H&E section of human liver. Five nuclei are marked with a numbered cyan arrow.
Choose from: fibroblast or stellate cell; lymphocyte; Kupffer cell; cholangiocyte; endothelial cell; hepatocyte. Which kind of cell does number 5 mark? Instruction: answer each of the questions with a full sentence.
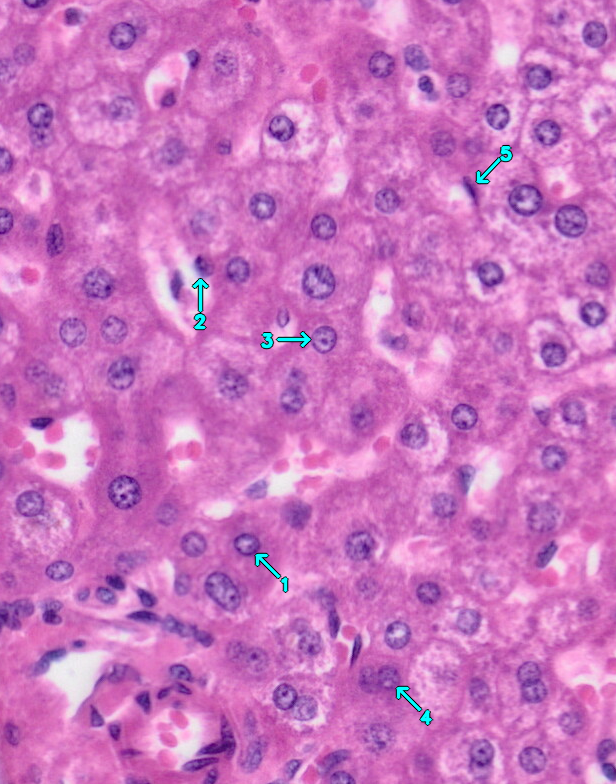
The numbered cell 5 in this field is an endothelial cell.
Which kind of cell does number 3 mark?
The cell that is numbered 3 is a hepatocyte.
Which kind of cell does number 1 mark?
The cell bearing label 1 corresponds to a hepatocyte.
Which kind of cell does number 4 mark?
The marked nucleus 4 is that of a hepatocyte.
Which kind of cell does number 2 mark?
It is as an endothelial cell that the cell numbered 2 is identified.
